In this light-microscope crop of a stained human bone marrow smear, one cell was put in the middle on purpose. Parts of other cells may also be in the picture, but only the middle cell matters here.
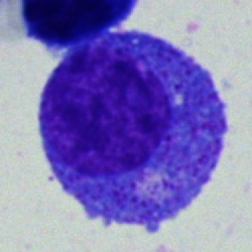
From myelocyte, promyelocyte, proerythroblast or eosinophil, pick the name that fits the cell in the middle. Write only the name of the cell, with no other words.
promyelocyte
